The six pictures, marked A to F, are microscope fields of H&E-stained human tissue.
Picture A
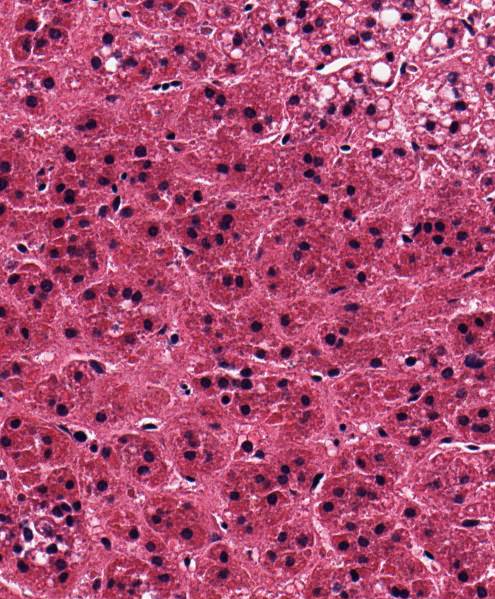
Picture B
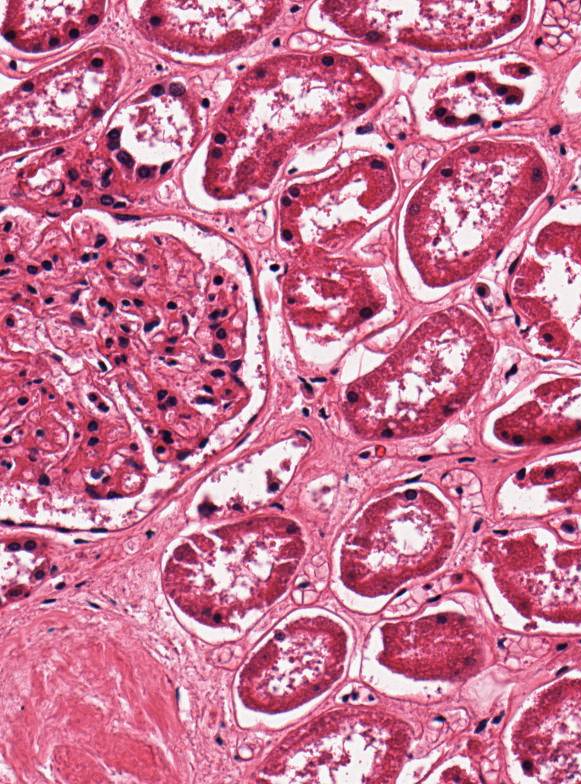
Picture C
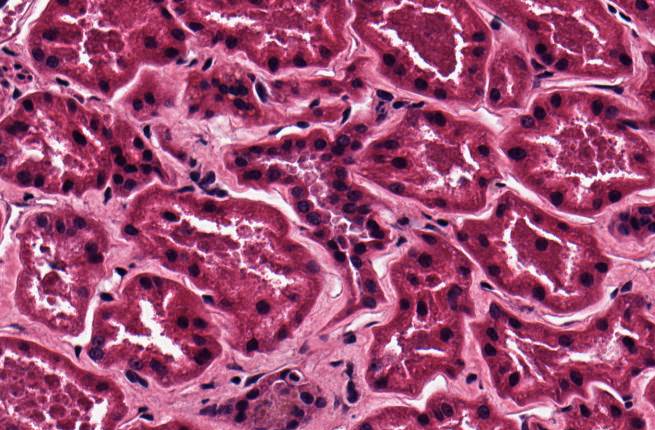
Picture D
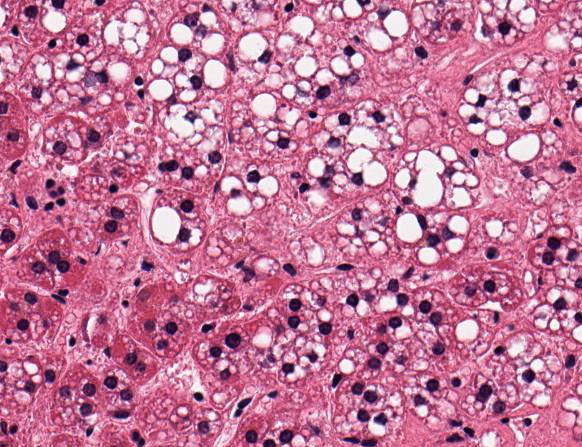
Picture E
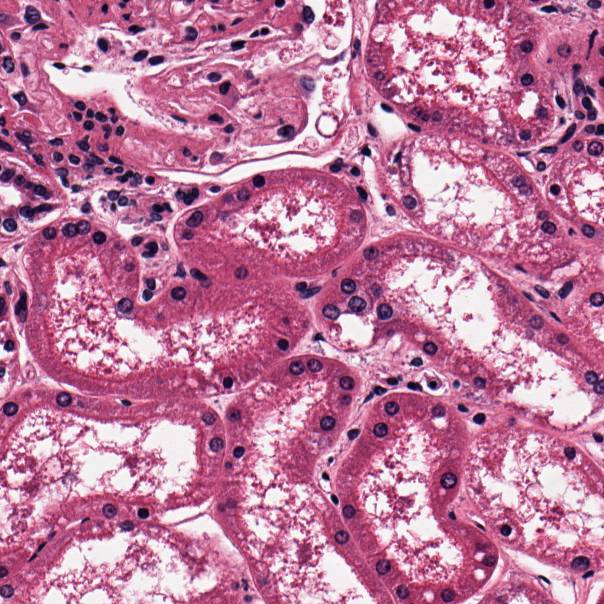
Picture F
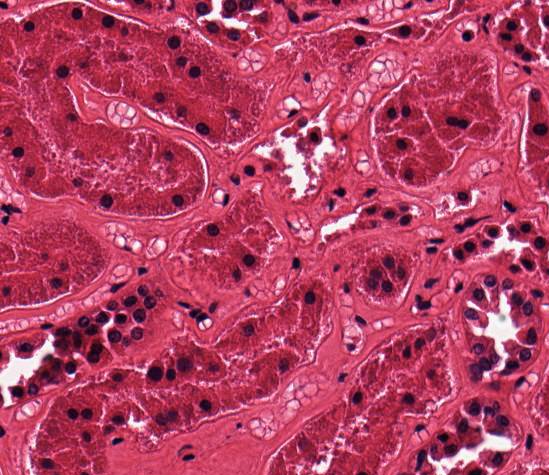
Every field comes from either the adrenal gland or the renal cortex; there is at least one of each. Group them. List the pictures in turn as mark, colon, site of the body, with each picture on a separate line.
A: adrenal gland
B: renal cortex
C: renal cortex
D: adrenal gland
E: renal cortex
F: renal cortex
